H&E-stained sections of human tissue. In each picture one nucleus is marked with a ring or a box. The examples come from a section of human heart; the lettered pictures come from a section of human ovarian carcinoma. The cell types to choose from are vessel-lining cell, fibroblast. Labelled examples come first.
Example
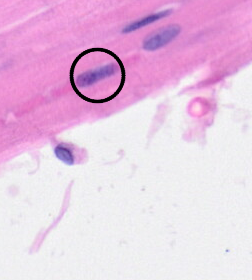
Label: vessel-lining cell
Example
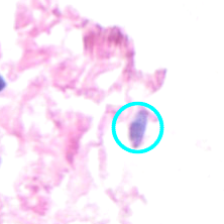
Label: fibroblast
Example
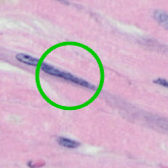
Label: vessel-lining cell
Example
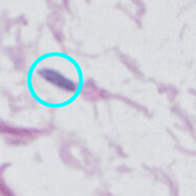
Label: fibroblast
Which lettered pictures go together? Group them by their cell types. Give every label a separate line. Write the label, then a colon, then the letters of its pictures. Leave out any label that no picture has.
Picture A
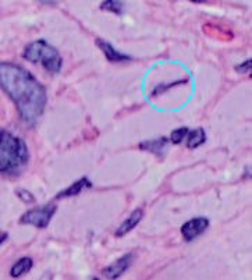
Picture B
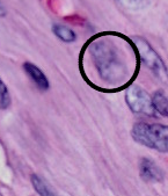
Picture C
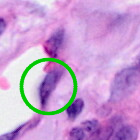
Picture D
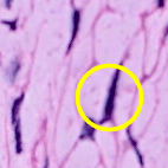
vessel-lining cell: B, C
fibroblast: A, D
